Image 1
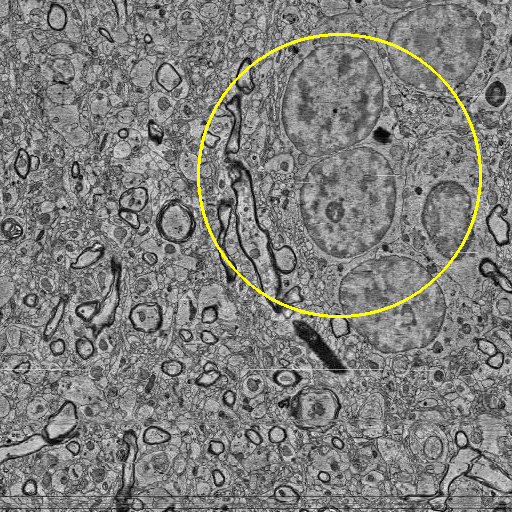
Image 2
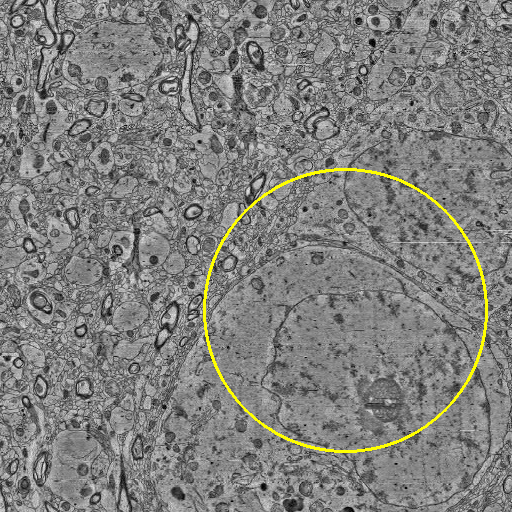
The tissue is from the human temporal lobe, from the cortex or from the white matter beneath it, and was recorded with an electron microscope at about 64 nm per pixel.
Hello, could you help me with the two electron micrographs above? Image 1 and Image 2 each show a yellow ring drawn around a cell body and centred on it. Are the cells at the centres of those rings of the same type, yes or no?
no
